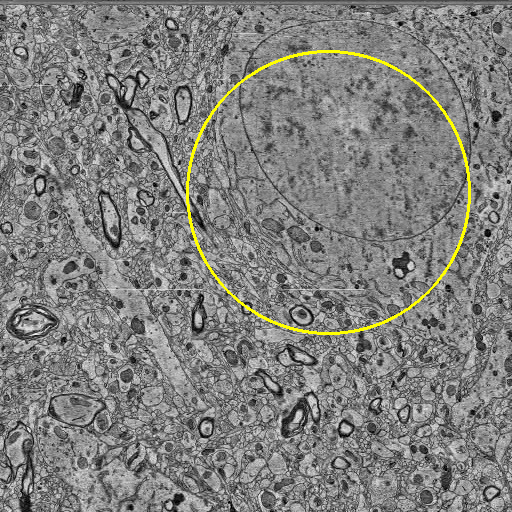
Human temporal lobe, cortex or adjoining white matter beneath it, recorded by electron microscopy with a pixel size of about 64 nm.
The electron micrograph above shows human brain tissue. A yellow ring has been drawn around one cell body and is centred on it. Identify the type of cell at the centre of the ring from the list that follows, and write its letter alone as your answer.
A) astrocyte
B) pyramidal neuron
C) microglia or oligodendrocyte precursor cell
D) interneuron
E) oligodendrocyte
B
